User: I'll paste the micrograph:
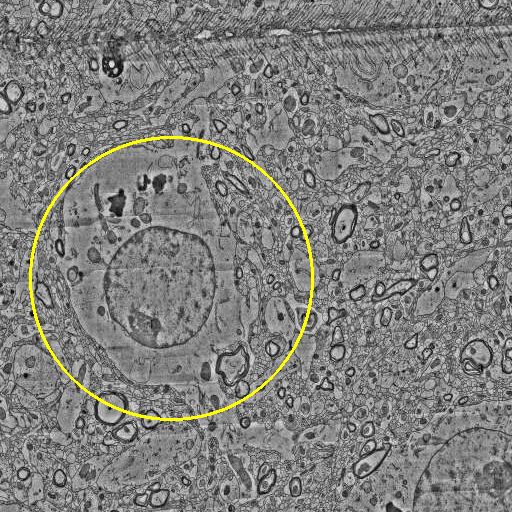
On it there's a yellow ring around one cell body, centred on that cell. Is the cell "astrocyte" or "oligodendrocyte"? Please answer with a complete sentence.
The cell ringed in yellow is an astrocyte.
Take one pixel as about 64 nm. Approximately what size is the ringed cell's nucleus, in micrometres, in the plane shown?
In this plane, the nucleus measures approximately 7 micrometres across.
